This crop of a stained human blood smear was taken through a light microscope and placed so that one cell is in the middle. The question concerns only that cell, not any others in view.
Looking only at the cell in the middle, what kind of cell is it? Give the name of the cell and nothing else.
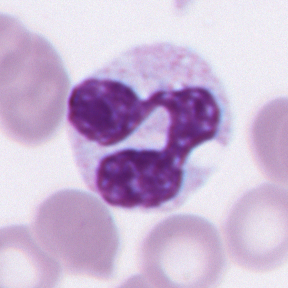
segmented neutrophil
